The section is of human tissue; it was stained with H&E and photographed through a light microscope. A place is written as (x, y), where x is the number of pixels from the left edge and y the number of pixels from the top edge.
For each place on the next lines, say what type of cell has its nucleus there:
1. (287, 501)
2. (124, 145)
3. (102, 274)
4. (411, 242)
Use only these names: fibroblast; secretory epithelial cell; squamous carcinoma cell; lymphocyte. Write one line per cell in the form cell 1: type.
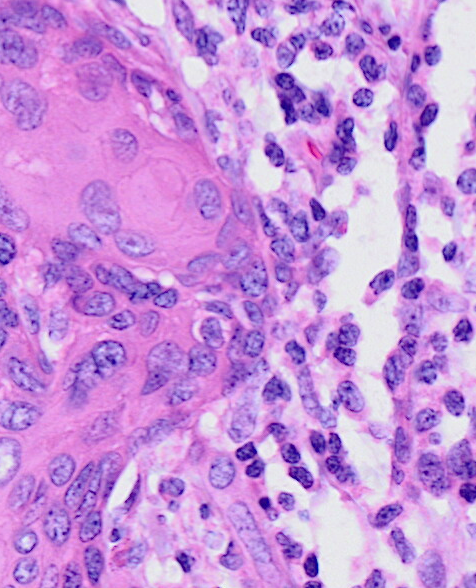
cell 1: lymphocyte
cell 2: squamous carcinoma cell
cell 3: squamous carcinoma cell
cell 4: lymphocyte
